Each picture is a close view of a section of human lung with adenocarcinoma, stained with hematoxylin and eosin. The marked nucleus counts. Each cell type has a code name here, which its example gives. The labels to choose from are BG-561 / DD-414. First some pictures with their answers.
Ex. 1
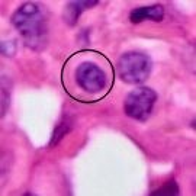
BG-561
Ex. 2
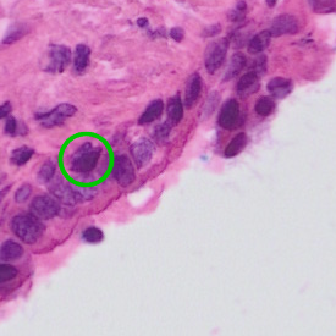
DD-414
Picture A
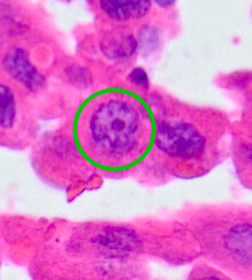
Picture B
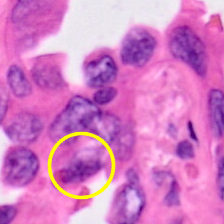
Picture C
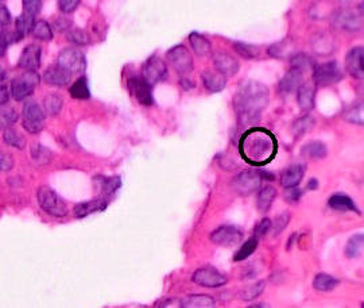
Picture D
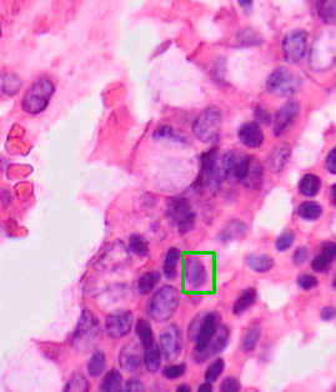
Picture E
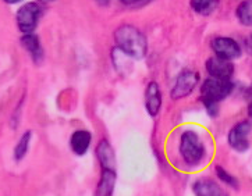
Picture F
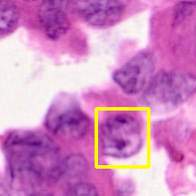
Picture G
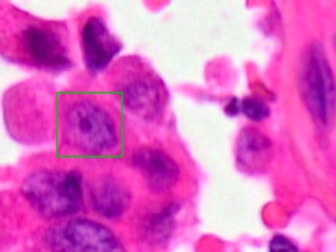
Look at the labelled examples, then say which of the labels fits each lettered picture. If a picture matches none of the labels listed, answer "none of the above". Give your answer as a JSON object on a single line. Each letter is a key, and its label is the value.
{"A": "none of the above", "B": "none of the above", "C": "DD-414", "D": "DD-414", "E": "BG-561", "F": "none of the above", "G": "none of the above"}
